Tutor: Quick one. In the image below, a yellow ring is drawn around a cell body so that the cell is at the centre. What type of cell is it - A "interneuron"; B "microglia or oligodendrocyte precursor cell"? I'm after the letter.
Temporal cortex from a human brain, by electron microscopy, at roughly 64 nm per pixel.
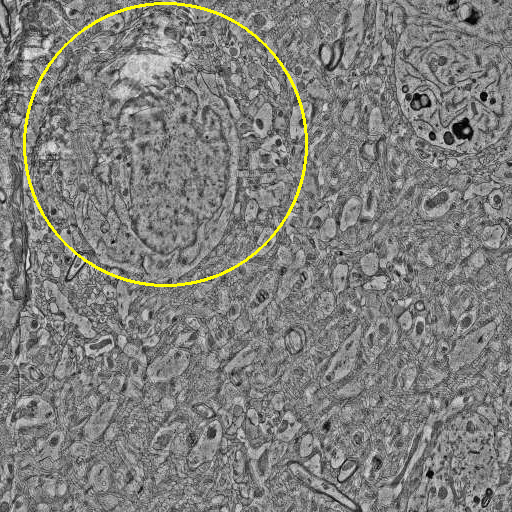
A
